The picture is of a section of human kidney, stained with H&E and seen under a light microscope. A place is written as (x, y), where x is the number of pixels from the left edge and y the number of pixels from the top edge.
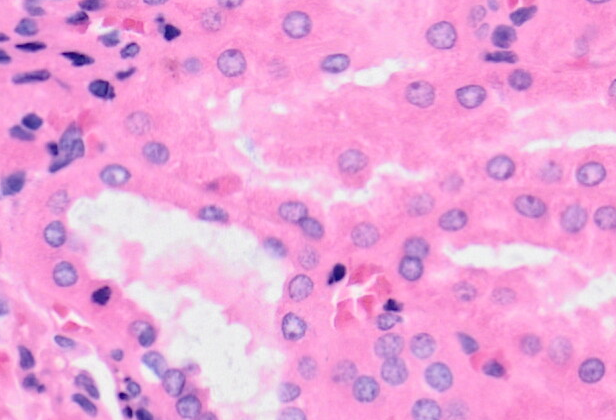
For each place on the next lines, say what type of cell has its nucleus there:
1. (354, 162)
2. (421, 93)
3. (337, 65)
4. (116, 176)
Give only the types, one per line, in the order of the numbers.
proximal tubule cell
proximal tubule cell
proximal tubule cell
loop of Henle or distal tubule cell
